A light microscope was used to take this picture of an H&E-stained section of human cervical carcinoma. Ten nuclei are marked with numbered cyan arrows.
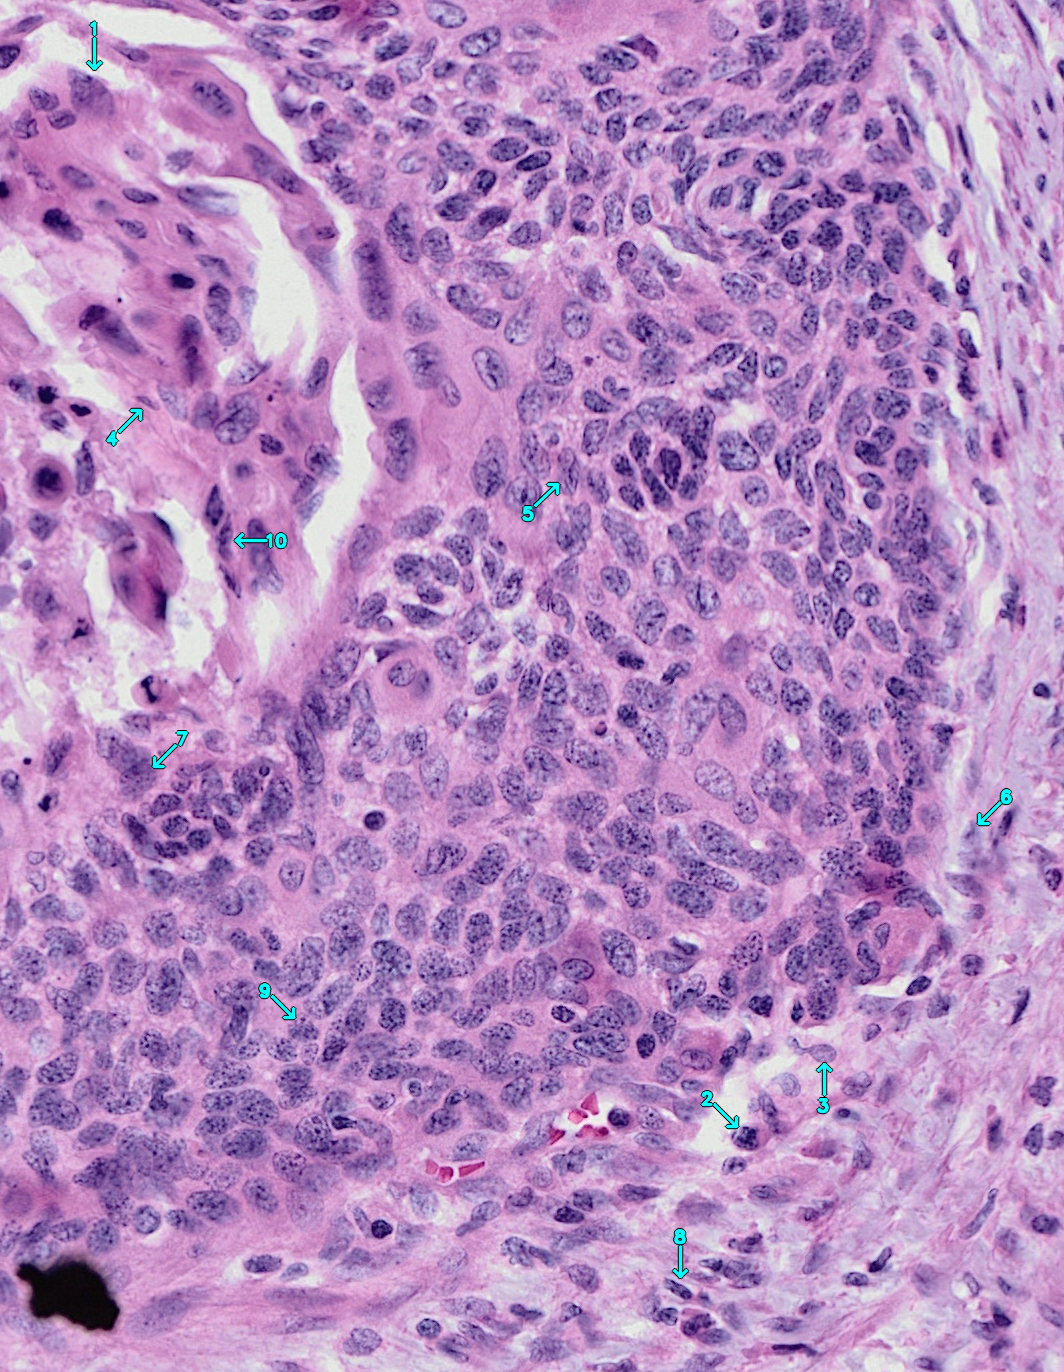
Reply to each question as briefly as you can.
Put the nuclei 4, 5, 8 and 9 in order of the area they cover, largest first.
5, 9, 8, 4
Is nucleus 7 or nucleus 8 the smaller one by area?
8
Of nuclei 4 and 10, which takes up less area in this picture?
4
